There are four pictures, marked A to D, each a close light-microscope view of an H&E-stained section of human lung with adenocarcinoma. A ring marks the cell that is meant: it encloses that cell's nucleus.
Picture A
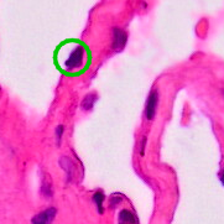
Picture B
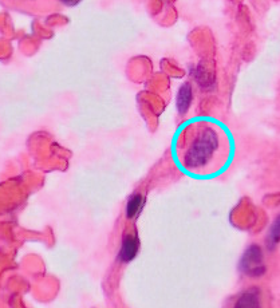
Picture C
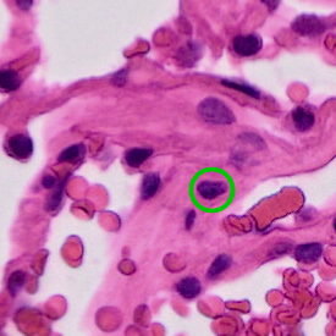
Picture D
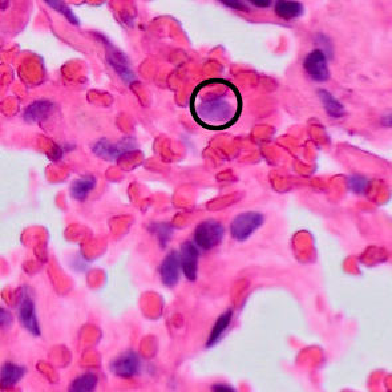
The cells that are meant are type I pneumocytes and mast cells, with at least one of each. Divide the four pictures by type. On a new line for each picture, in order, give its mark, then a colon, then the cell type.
A: type I pneumocyte
B: type I pneumocyte
C: mast cell
D: type I pneumocyte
